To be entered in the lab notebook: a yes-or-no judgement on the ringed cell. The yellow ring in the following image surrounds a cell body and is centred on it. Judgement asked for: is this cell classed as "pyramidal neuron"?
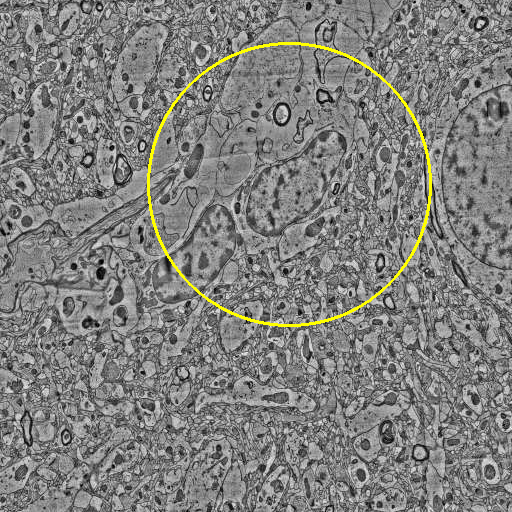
No, it falls in another class.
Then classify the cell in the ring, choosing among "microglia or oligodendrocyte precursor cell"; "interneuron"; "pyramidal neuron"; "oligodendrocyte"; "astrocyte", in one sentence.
The answer is that the ringed cell is a microglial cell or oligodendrocyte precursor cell.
